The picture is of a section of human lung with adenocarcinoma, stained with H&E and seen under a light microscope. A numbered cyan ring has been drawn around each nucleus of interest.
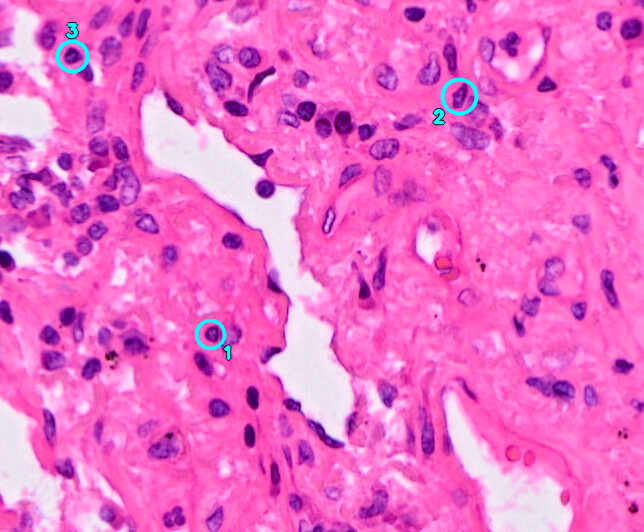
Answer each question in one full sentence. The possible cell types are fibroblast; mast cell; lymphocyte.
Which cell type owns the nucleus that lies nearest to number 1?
It is a fibroblast whose nucleus is nearest to number 1.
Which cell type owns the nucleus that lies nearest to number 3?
The nearest nucleus to number 3 belongs to a lymphocyte.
